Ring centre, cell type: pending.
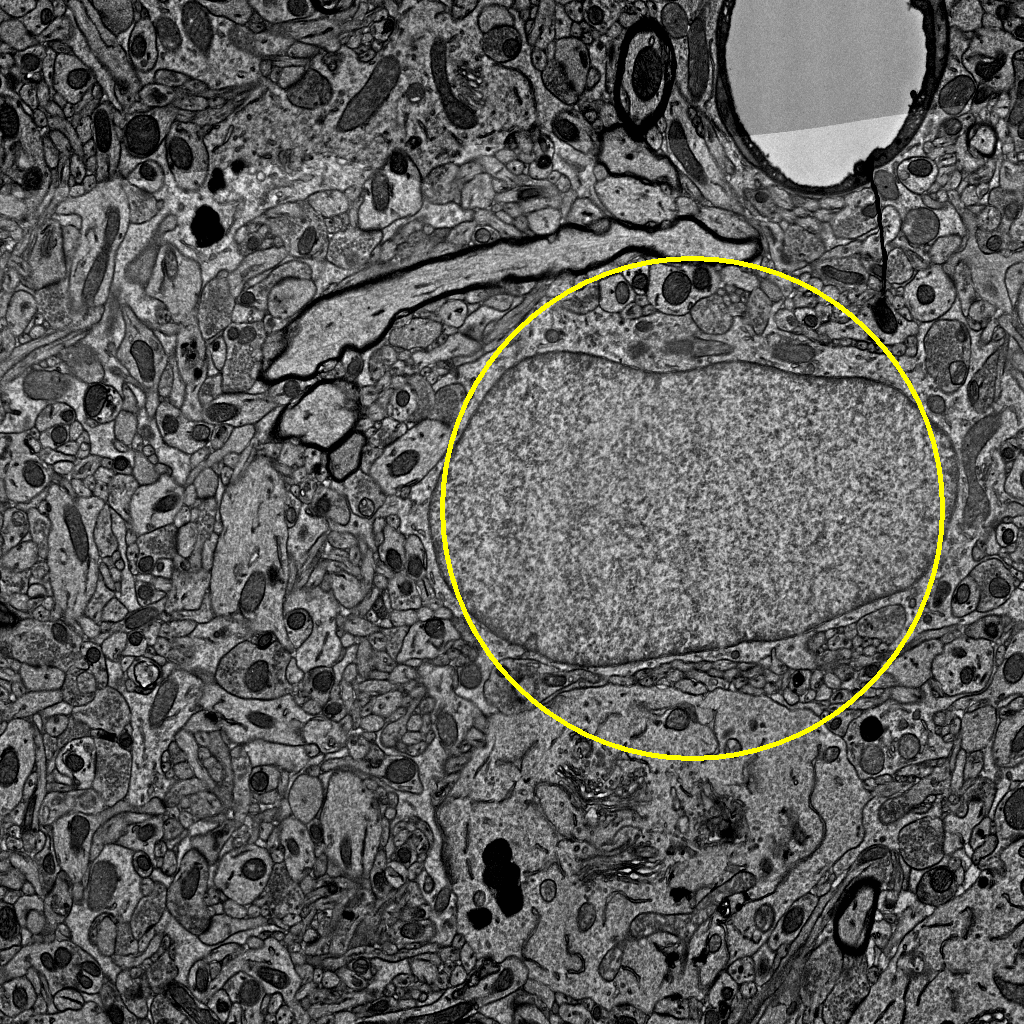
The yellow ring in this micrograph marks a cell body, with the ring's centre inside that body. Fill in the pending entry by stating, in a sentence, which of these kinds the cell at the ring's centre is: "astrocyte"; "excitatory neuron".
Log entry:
The cell at the ring's centre is recorded as an astrocyte.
